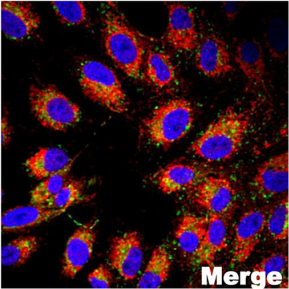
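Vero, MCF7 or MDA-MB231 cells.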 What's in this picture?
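These are cultured cells with large oval blue nuclei, each surrounded by a red lace-like cytoplasmic network that is brightest around the nucleus. Only some of the dots sit on red and look yellowish; many stay distinctly green, so the two labels overlap only in part. The cells lie close together, with dark spaces between some of them and slender extensions reaching toward neighbours.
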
